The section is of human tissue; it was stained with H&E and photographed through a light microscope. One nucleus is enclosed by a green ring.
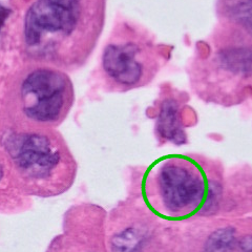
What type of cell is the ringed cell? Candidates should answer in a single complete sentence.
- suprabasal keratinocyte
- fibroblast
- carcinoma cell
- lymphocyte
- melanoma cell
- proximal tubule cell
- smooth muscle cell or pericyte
The expected answer is simply that the ringed cell is a carcinoma cell.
